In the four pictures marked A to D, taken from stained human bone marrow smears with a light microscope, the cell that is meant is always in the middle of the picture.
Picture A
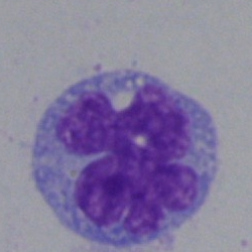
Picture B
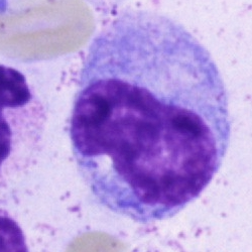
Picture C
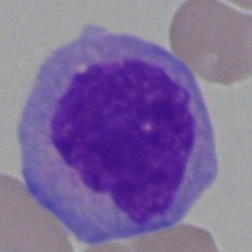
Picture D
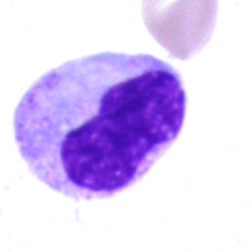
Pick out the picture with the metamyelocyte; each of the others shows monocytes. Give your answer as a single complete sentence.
The picture with the metamyelocyte is D.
